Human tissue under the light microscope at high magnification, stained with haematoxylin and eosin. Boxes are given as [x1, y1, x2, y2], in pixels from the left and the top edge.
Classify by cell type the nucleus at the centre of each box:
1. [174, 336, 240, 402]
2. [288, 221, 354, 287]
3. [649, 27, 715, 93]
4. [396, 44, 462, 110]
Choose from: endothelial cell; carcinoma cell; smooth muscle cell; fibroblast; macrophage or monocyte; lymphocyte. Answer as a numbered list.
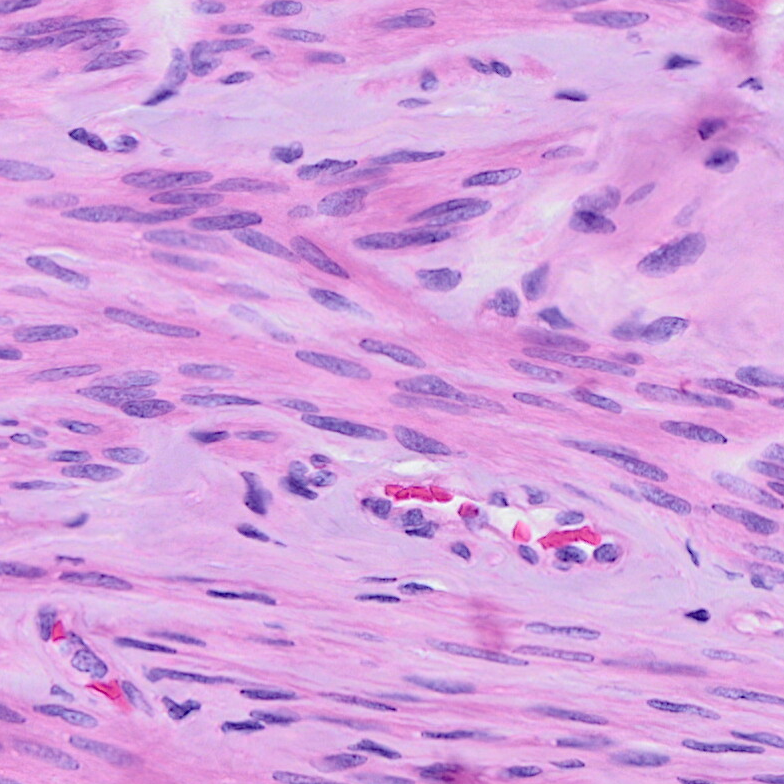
1. smooth muscle cell
2. smooth muscle cell
3. fibroblast
4. smooth muscle cell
